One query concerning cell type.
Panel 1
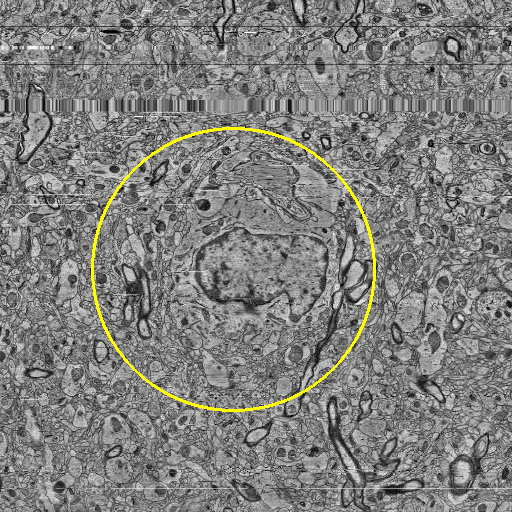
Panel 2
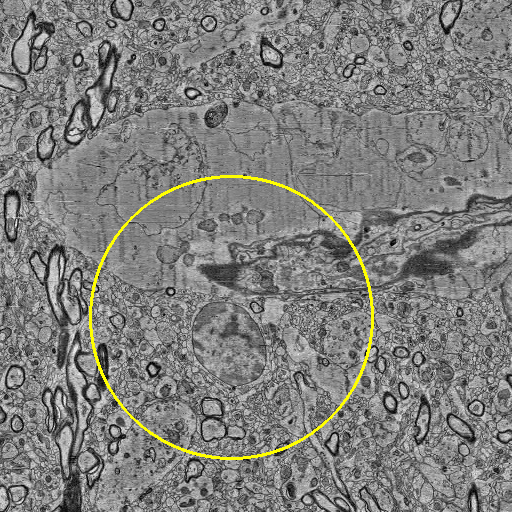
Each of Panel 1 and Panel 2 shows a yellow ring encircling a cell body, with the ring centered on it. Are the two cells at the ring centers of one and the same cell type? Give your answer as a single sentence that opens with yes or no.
Yes, the cell centered in Panel 1 and the one in Panel 2 share a type.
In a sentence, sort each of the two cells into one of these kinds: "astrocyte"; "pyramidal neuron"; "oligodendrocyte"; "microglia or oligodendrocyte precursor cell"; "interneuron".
Both rings mark a microglial cell or oligodendrocyte precursor cell, one in each picture.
